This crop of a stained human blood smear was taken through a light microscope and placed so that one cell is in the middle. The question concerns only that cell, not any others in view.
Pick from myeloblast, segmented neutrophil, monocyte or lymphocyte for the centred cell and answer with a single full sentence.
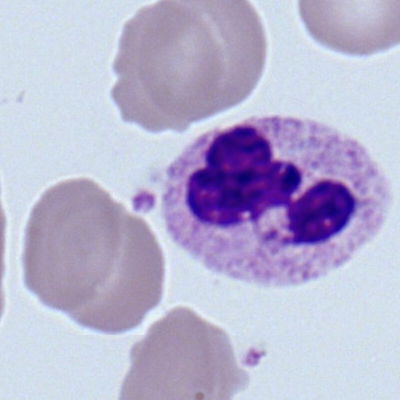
What sits at the centre of this crop is a segmented neutrophil.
